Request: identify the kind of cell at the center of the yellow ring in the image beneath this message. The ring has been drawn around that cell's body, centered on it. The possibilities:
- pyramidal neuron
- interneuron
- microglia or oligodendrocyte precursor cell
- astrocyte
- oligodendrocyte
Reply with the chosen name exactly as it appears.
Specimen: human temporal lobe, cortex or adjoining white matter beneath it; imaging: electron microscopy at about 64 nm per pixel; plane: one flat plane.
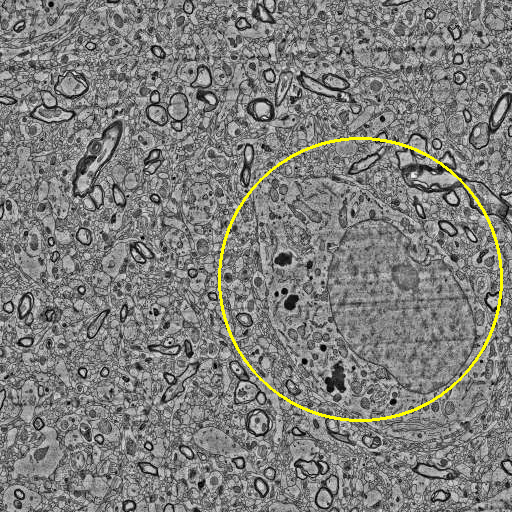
interneuron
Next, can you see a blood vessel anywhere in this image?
No, no blood vessel can be seen.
